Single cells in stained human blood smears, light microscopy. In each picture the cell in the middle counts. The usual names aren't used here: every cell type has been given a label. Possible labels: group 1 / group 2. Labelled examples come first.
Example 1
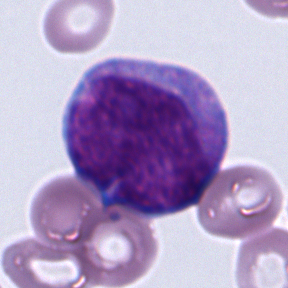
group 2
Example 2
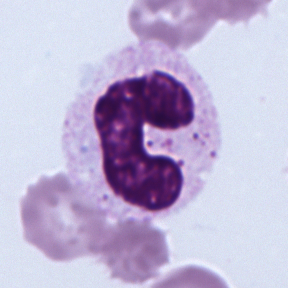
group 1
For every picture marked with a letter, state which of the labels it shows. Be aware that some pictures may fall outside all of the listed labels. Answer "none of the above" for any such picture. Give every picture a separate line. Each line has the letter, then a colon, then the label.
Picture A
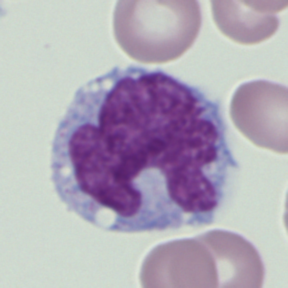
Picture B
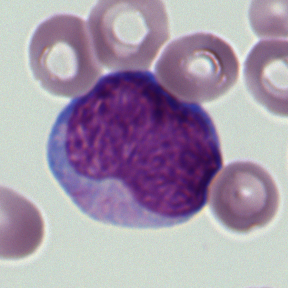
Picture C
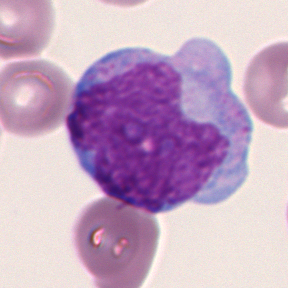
A: none of the above
B: group 2
C: group 2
